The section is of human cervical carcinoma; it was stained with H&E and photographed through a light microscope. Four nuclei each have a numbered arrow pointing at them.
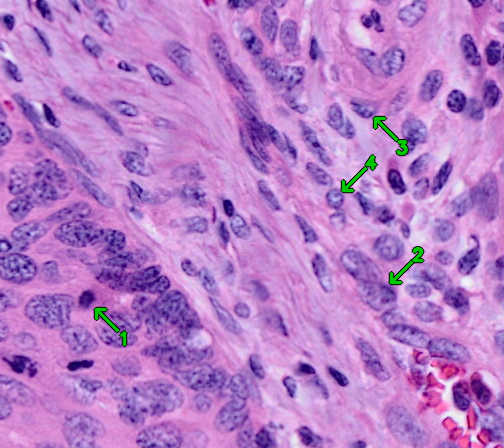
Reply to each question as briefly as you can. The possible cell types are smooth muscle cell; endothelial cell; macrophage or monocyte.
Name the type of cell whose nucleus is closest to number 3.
macrophage or monocyte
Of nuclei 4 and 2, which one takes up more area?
2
